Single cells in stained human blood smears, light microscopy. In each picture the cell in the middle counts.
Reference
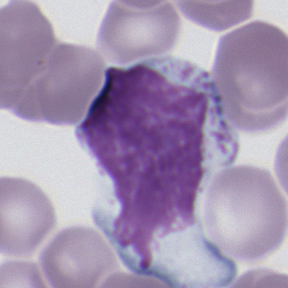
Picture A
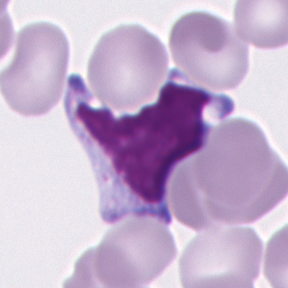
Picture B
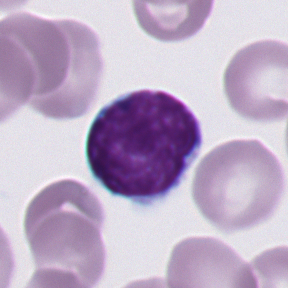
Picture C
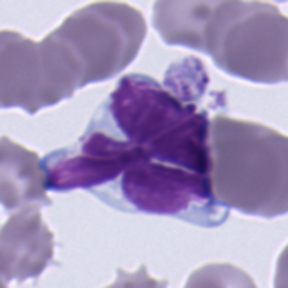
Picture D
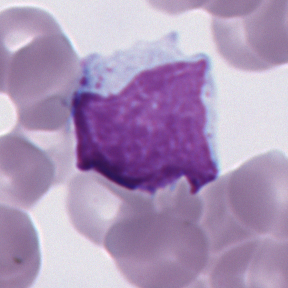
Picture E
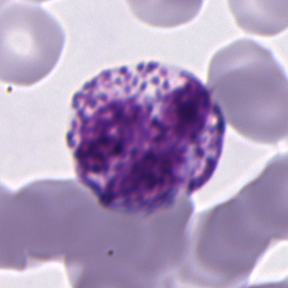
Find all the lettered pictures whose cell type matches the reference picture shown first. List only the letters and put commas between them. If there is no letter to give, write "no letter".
A, C, D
